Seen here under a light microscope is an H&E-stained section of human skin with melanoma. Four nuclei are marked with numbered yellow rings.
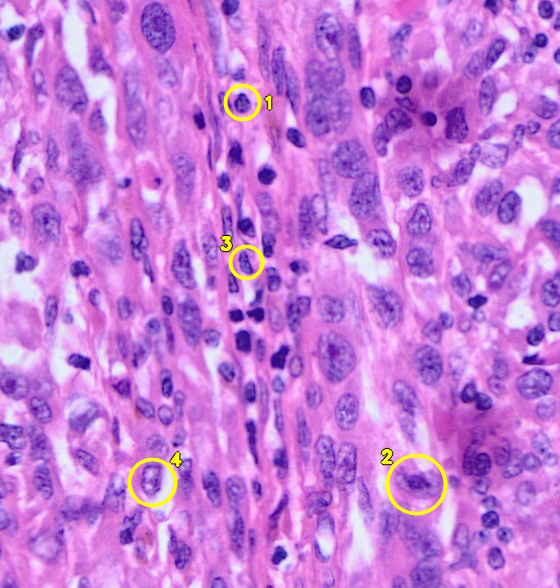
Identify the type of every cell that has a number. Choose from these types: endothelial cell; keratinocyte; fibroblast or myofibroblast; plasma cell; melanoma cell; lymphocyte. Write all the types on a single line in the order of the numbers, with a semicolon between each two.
lymphocyte; melanoma cell; lymphocyte; melanoma cell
